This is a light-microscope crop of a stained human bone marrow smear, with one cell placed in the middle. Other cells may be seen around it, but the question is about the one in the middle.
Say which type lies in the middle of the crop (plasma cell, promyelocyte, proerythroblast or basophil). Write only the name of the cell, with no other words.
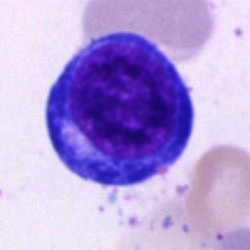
proerythroblast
